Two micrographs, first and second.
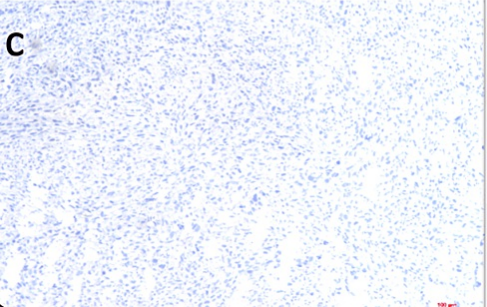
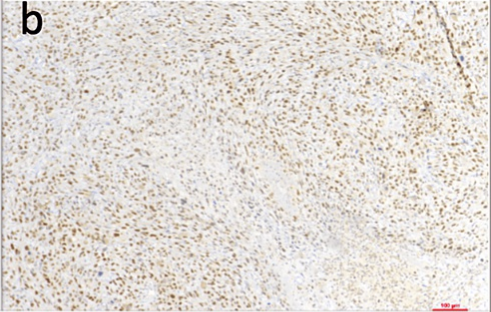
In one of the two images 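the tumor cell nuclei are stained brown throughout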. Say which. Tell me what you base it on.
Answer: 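First image: all nuclei are blue with no brown stain.
Answer: the second image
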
